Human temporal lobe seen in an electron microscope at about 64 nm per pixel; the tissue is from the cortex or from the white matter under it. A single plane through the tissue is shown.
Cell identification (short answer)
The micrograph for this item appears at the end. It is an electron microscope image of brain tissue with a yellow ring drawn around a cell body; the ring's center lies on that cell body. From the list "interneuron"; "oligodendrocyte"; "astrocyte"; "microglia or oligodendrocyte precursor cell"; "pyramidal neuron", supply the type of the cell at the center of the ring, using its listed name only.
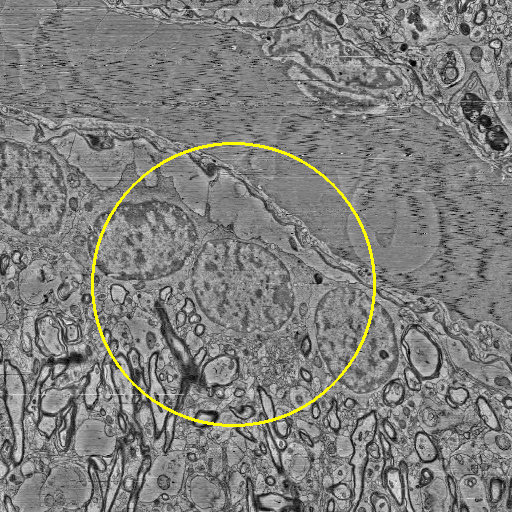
oligodendrocyte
